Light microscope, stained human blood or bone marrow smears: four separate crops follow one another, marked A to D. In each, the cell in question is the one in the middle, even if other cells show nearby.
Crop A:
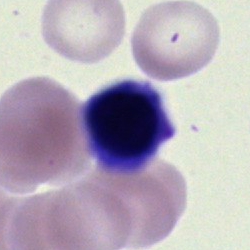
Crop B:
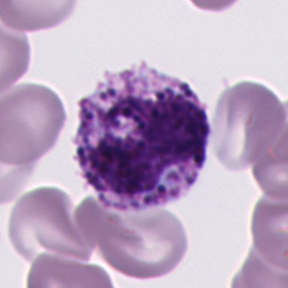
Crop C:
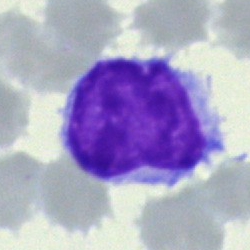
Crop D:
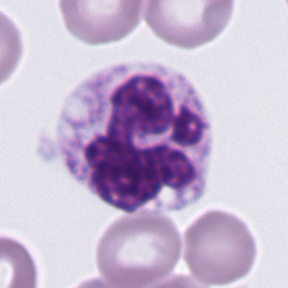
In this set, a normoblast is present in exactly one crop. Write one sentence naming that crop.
Crop A represents a normoblast, while the other crops do not.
